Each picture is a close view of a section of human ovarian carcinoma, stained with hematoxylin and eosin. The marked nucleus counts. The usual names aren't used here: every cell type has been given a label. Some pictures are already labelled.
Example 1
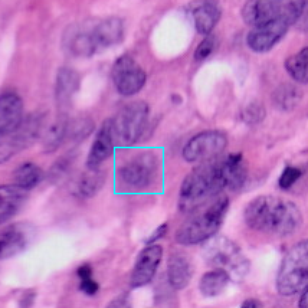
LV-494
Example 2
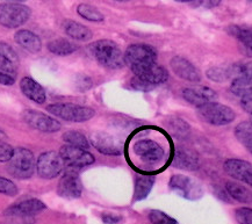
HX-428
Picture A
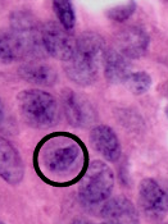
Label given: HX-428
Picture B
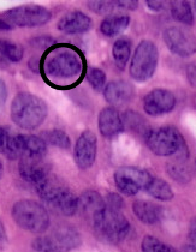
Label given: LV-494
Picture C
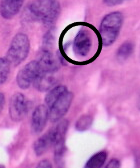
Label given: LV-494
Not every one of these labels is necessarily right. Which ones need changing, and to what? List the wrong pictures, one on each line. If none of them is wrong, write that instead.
All correct.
